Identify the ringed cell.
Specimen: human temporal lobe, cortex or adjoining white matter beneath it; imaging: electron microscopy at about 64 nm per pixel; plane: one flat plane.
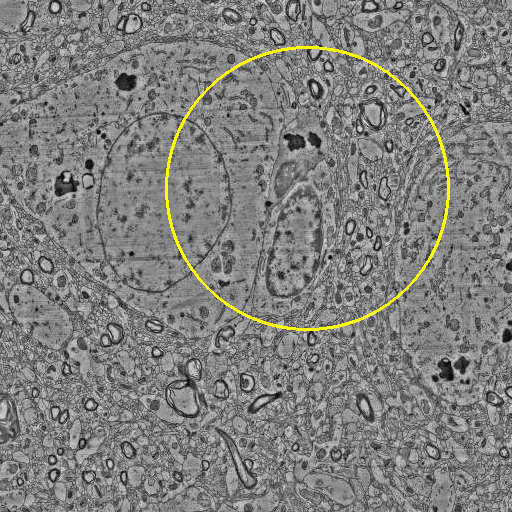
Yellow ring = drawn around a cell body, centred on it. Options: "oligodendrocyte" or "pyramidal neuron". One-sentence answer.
What the ring is centred on is an oligodendrocyte.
